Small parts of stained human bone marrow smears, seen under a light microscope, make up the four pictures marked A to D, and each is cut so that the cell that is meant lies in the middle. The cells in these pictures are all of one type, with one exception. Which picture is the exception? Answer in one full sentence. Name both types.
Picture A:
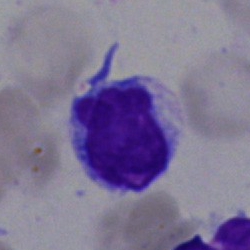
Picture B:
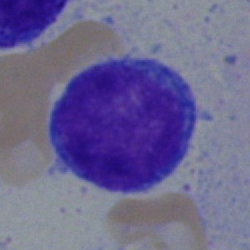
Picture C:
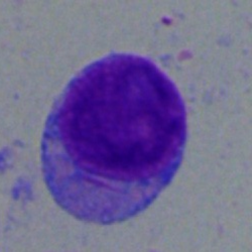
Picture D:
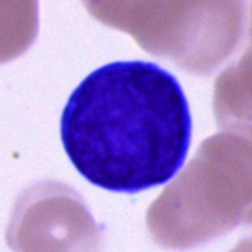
Picture A is the odd one out: it shows a lymphocyte, while the others show blasts.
